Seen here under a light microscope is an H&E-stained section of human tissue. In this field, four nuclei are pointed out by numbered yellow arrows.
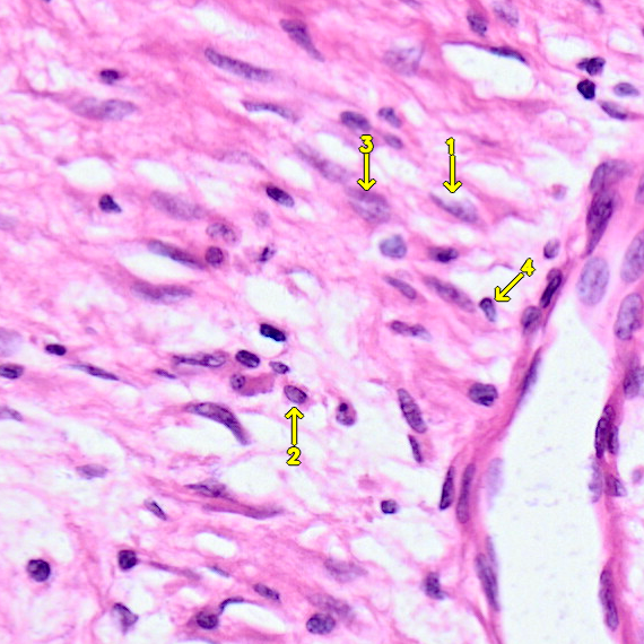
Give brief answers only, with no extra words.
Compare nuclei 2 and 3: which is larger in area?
3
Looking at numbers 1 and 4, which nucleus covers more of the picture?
1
